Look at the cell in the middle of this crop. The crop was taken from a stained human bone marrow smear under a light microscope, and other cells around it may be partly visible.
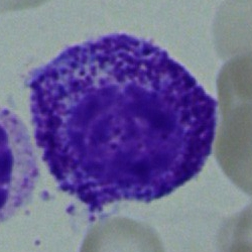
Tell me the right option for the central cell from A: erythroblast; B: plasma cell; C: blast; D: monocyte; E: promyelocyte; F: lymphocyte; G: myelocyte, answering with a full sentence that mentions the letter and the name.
The cell centered in the crop is a promyelocyte, making option E the correct pick.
